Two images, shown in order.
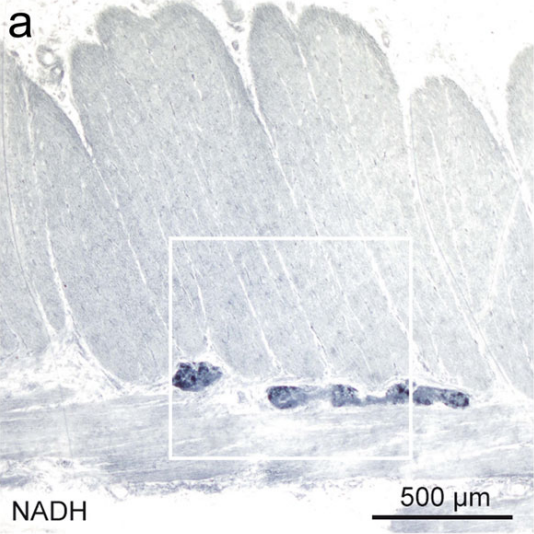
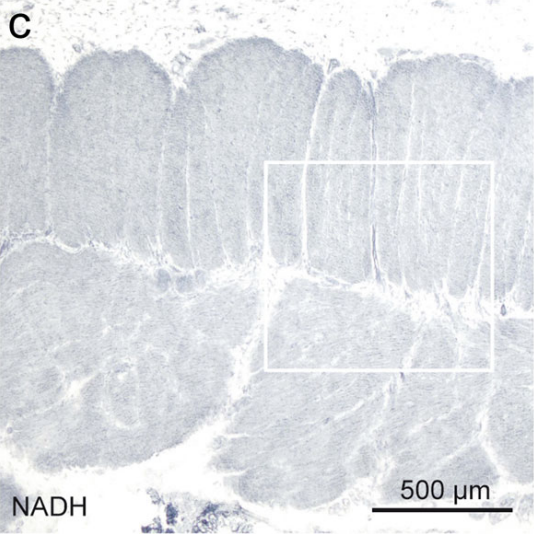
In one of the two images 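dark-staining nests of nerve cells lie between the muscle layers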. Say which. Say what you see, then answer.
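Second image: the band between the muscle layers holds only pale connective tissue, no dark nests. First image: a row of dark blue nests lies between the muscle layers.
The first image.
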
